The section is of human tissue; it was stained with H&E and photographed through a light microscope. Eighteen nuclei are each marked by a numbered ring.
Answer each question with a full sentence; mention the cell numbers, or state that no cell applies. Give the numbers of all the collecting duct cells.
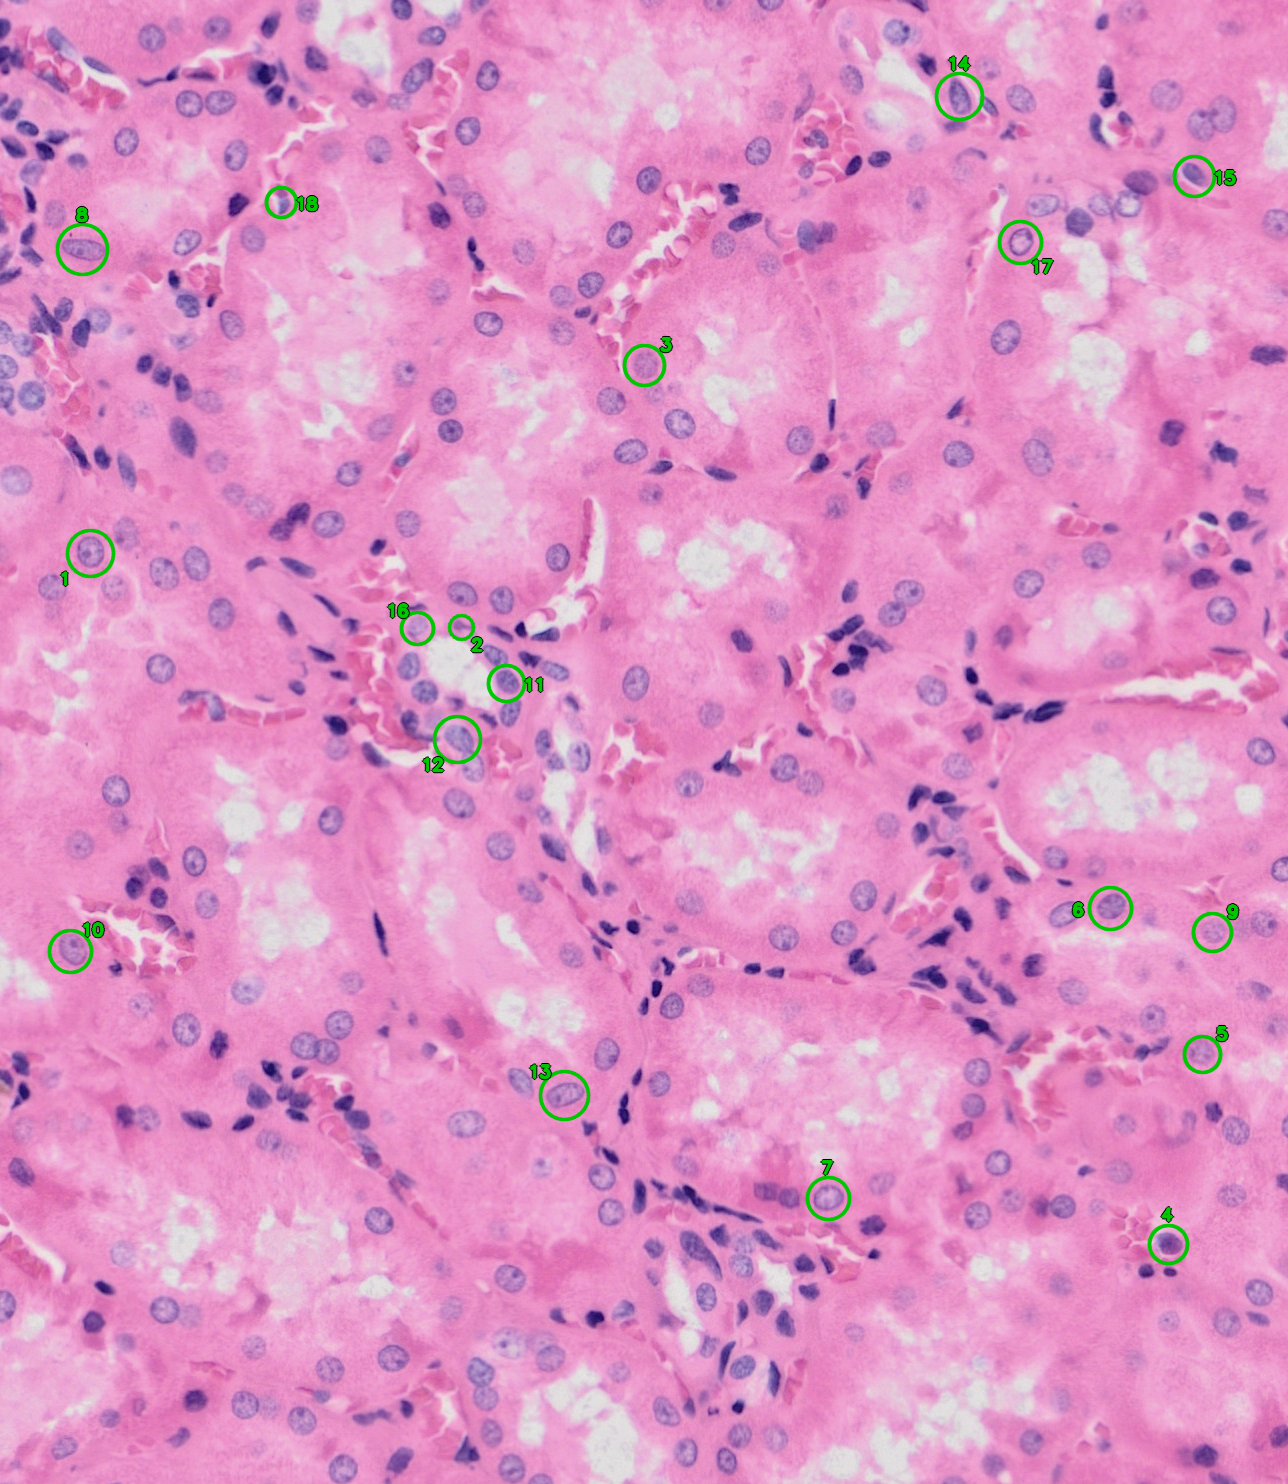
Cells numbered 2, 11, 12, 14 and 16 belong to the group of collecting duct cells.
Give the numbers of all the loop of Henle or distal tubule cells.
There are no loop of Henle or distal tubule cells in the group of numbered cells.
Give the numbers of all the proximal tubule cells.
The cells to which the numbers 1, 3, 5, 6, 7, 8, 9, 10, 13 and 17 refer are proximal tubule cells.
